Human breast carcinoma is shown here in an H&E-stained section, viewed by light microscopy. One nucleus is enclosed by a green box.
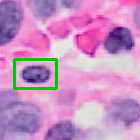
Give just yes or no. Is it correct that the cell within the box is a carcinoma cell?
no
